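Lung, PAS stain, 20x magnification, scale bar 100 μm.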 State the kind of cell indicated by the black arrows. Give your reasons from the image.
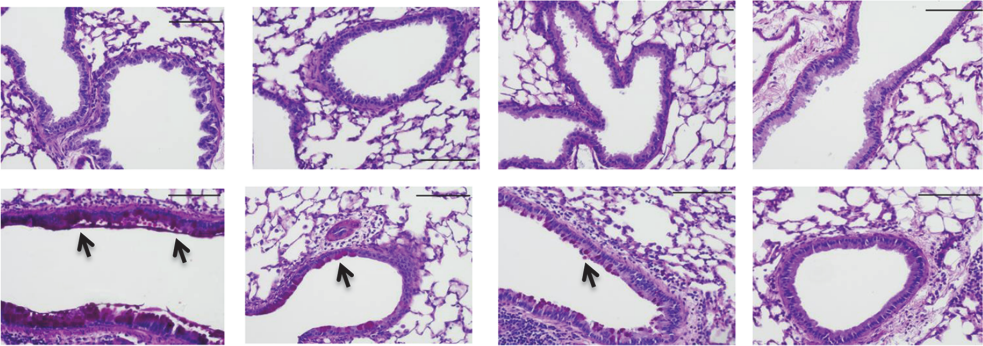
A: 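The arrows point at cells in the airway lining. Those lining cells hold dark pink-magenta cytoplasm. The lining in the upper row of fields lacks this dark pink material.
Conclusion: mucin producing cells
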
